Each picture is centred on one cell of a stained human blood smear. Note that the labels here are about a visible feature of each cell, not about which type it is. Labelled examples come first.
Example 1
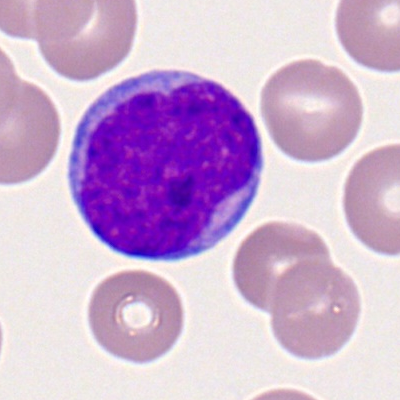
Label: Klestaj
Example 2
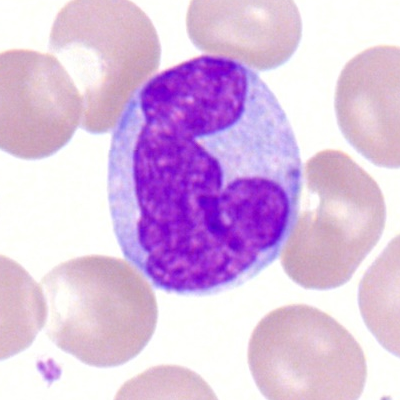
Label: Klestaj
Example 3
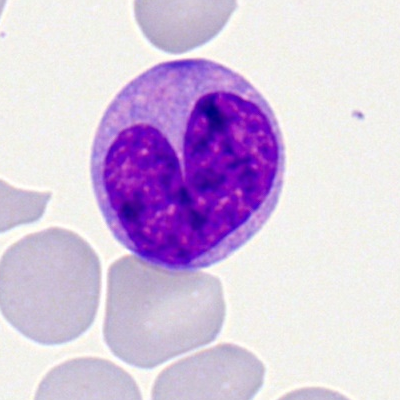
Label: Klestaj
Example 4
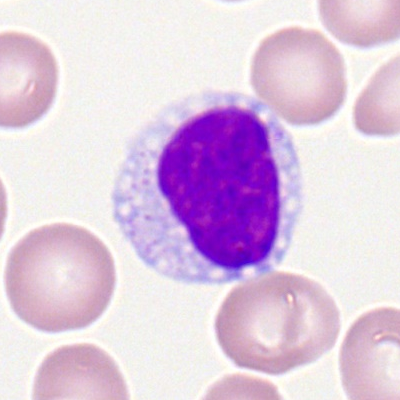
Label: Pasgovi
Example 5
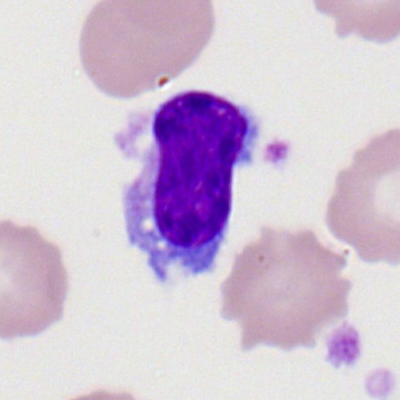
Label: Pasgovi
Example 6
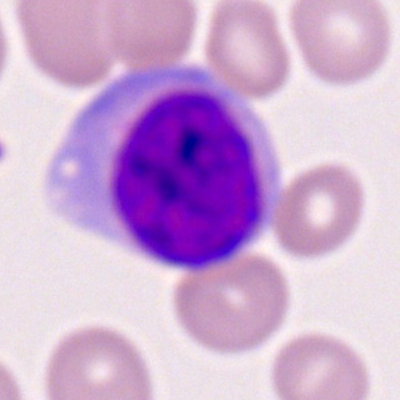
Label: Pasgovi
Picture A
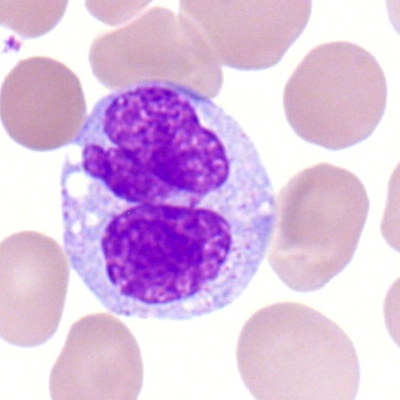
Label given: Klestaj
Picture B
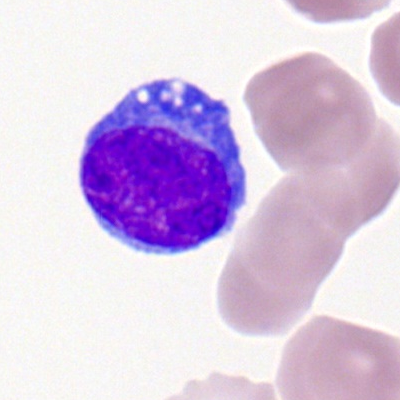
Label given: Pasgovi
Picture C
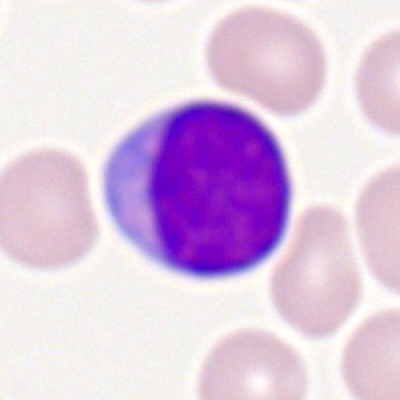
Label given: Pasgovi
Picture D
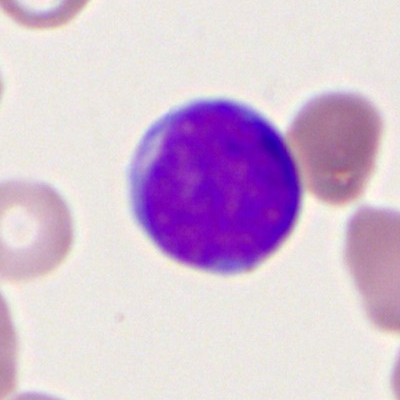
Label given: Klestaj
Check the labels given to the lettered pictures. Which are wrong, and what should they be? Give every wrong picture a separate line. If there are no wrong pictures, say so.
A: not Klestaj but Pasgovi
C: not Pasgovi but Klestaj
